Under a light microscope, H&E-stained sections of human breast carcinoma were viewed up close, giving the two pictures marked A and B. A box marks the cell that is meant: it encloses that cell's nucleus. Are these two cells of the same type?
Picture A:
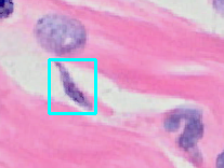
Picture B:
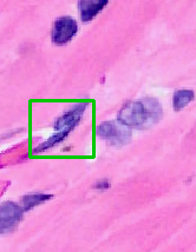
no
